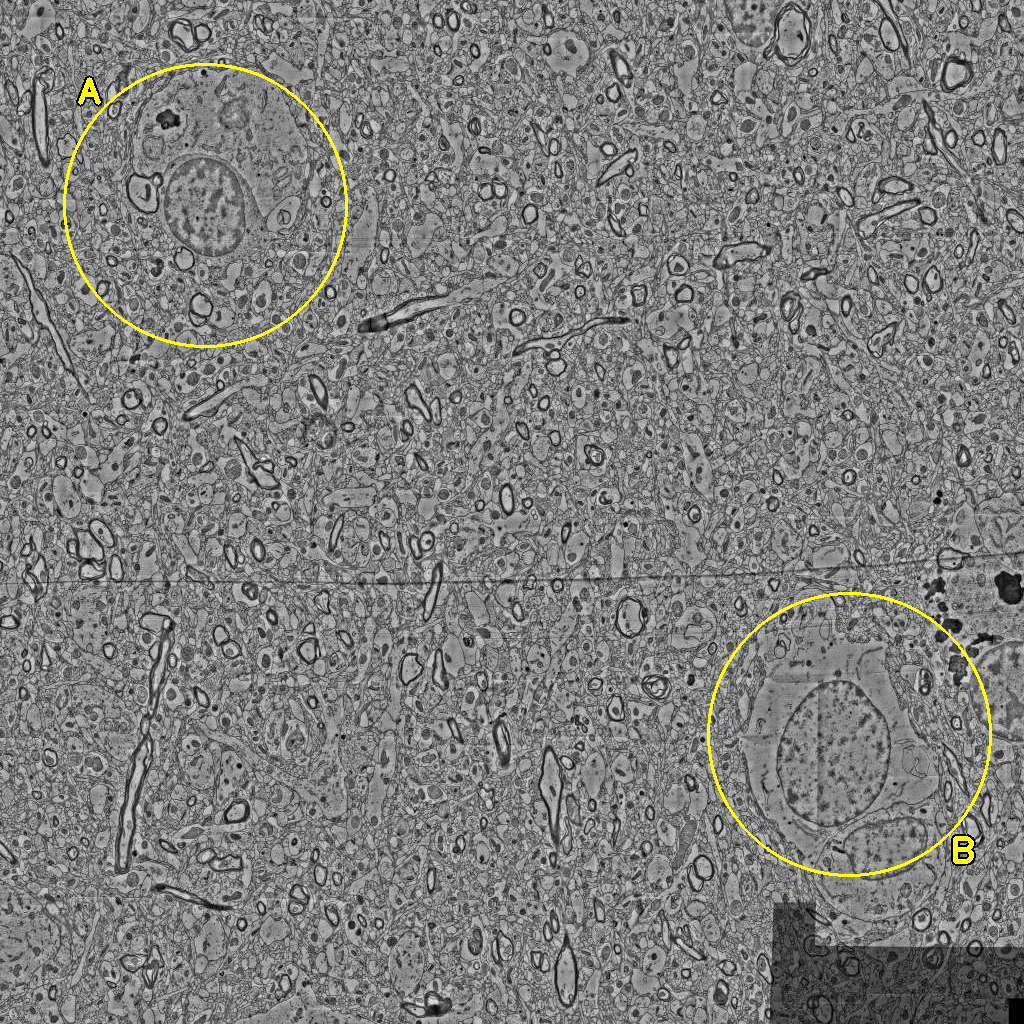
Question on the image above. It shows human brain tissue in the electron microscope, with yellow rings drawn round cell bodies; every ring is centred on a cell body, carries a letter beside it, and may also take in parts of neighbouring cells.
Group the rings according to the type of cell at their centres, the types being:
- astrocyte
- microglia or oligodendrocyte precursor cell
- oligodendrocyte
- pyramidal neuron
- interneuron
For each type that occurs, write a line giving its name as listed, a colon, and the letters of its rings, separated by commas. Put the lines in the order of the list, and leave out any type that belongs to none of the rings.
astrocyte: B
oligodendrocyte: A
